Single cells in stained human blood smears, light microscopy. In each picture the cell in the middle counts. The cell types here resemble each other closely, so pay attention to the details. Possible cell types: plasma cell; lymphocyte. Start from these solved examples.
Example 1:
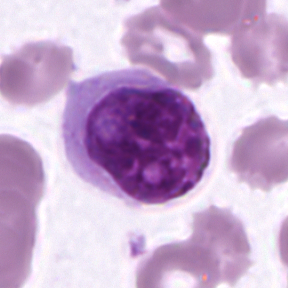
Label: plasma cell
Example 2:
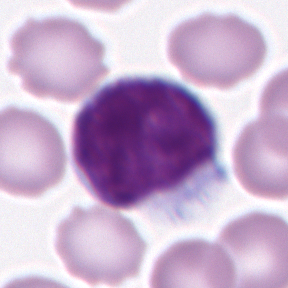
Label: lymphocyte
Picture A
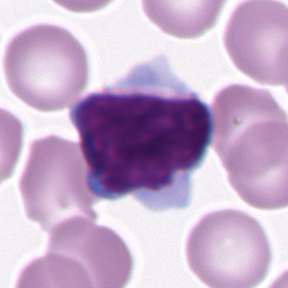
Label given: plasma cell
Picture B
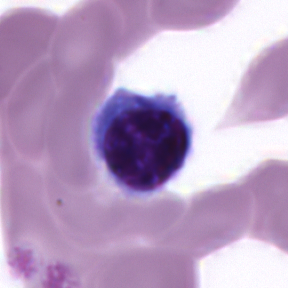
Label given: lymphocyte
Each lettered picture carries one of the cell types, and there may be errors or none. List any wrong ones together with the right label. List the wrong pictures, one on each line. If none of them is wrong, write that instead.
A should be lymphocyte, not plasma cell
B should be plasma cell, not lymphocyte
